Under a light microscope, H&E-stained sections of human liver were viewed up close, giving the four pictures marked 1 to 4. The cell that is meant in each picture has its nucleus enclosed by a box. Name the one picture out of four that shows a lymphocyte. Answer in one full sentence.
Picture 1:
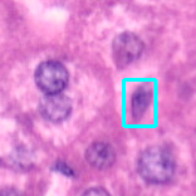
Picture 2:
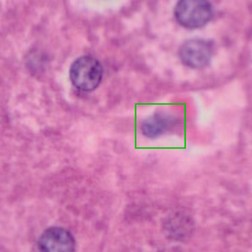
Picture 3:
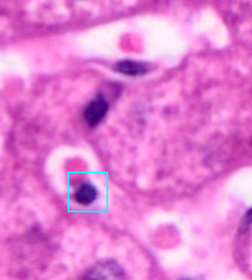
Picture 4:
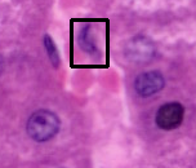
It is picture 3 that shows the lymphocyte.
